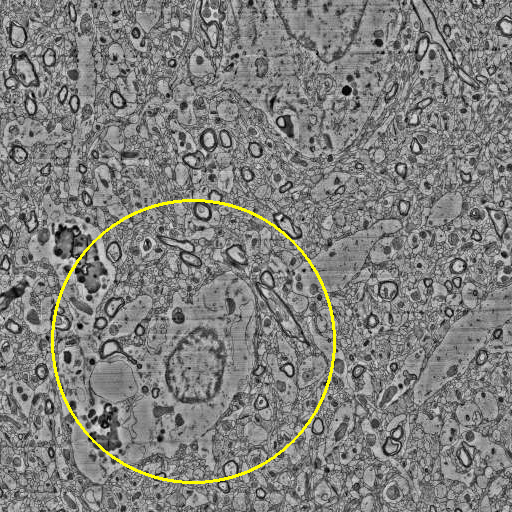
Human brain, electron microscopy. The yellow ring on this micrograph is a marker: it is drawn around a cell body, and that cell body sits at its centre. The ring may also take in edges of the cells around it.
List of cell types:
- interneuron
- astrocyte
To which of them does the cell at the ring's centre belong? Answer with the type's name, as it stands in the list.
astrocyte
